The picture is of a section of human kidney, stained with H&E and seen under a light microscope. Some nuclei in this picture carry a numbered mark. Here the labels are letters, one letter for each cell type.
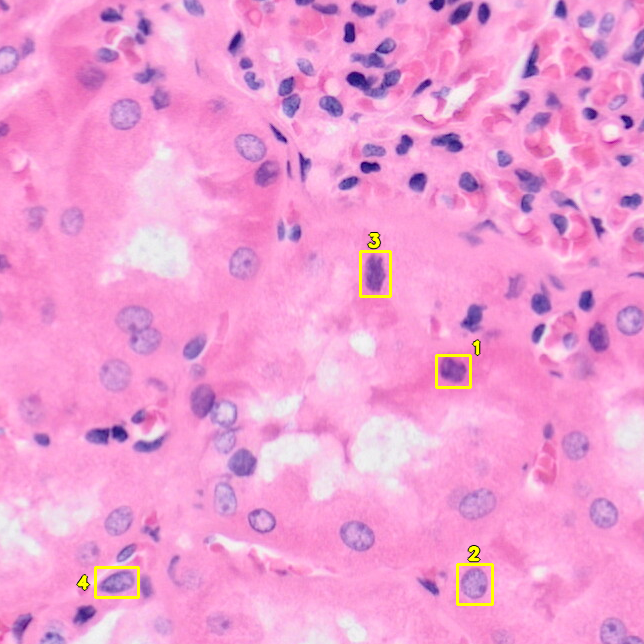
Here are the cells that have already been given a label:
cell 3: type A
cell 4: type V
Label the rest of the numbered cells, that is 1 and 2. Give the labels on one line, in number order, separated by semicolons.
type A; type A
